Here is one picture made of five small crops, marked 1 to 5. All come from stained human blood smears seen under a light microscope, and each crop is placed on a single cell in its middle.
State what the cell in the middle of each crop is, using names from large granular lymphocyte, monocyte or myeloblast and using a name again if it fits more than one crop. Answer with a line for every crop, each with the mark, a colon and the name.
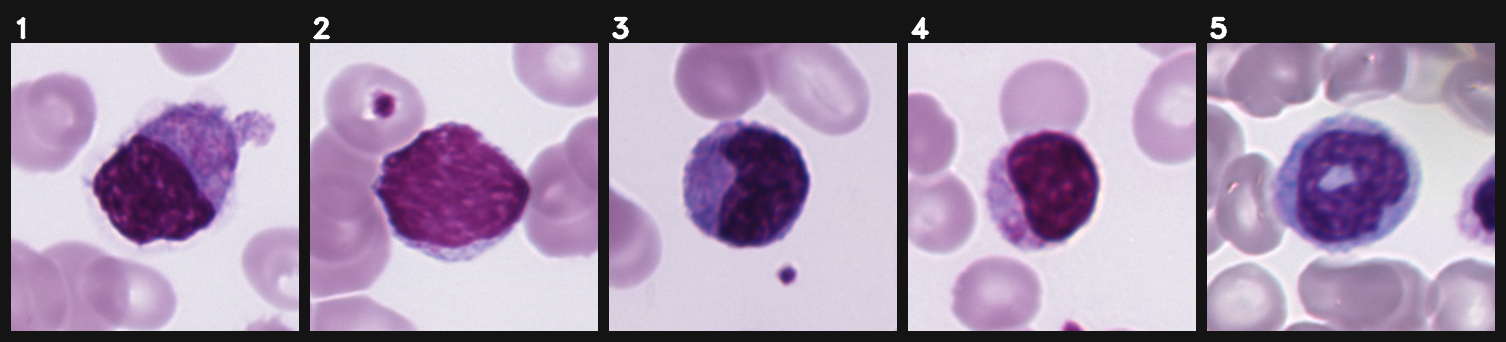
1: monocyte
2: large granular lymphocyte
3: monocyte
4: large granular lymphocyte
5: monocyte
